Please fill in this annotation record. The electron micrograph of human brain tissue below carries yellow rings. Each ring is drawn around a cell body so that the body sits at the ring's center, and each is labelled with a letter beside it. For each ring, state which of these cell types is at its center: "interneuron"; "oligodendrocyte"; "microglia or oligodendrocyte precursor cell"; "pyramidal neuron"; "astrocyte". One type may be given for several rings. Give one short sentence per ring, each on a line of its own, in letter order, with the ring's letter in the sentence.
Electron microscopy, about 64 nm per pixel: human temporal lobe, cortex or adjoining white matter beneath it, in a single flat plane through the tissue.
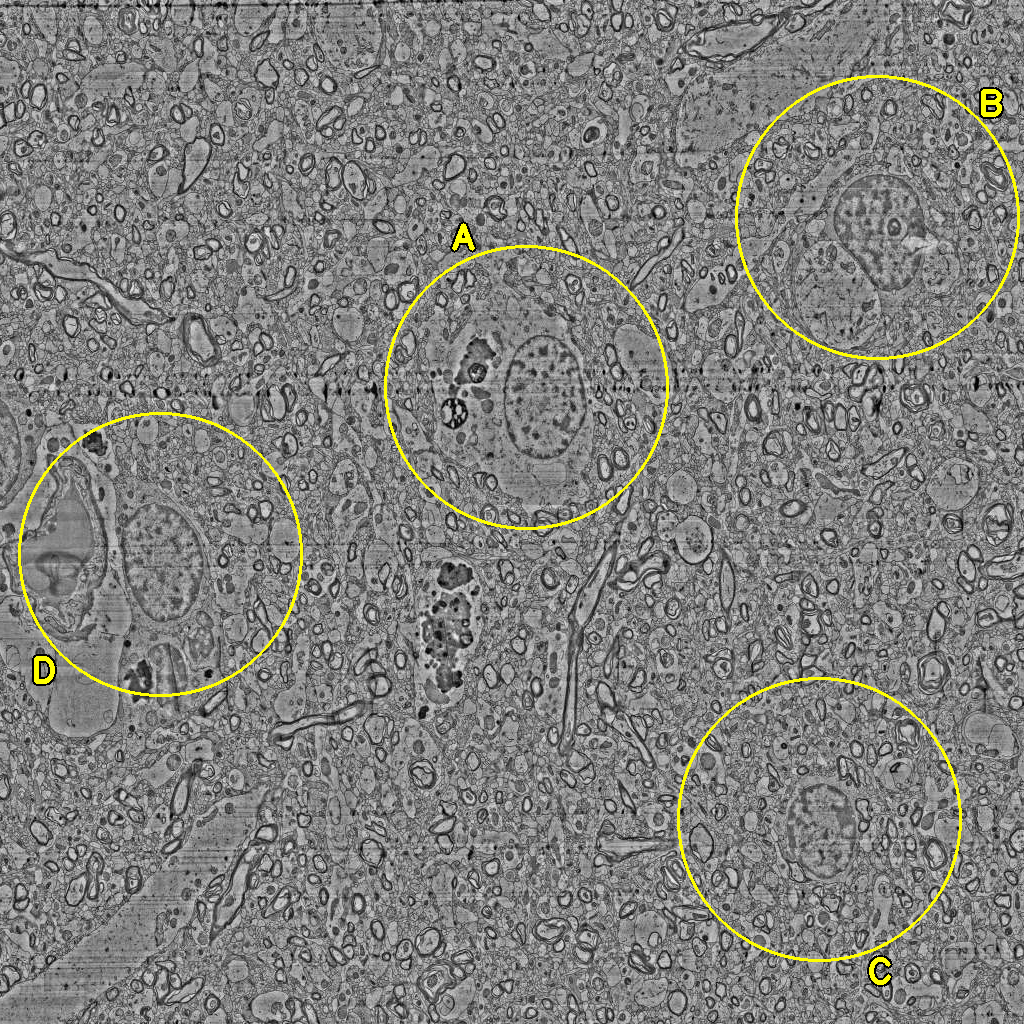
Ring A is drawn around an astrocyte.
Ring B is drawn around an oligodendrocyte.
Ring C is drawn around an oligodendrocyte.
Ring D is drawn around an oligodendrocyte.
